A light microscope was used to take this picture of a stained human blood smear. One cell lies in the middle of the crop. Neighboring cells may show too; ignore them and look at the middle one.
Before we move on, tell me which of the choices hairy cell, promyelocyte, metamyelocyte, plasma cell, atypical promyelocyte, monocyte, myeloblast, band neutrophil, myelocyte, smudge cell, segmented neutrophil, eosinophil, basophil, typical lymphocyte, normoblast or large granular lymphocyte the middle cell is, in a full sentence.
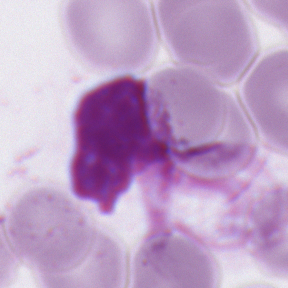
The cell positioned in the middle of the field is a smudge cell.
